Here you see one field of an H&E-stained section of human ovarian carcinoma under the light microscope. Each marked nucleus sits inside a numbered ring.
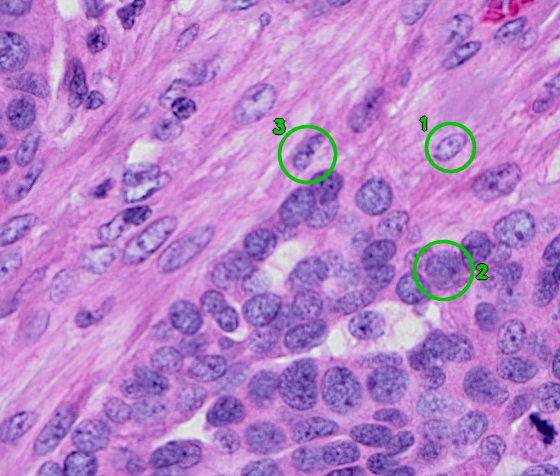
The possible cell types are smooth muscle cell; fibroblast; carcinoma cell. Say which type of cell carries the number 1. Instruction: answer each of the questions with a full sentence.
The mark numbered 1 indicates the nucleus of a fibroblast.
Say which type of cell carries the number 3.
In the tissue shown, cell 3 is a fibroblast.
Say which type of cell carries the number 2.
Identified by the number 2, the cell is a carcinoma cell.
